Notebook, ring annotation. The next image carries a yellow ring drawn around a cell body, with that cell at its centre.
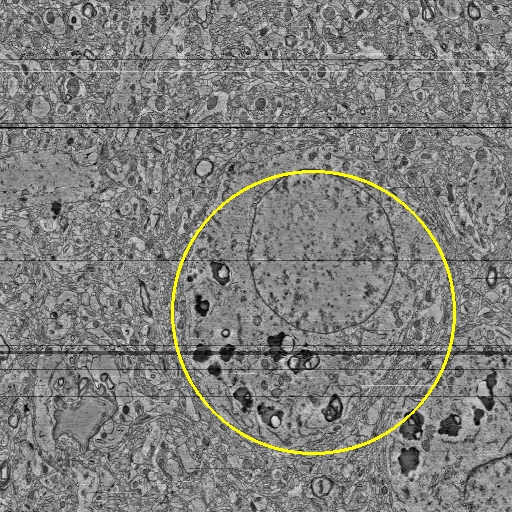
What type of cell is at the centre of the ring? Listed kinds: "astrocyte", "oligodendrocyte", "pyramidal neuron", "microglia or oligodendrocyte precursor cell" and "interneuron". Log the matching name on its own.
pyramidal neuron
